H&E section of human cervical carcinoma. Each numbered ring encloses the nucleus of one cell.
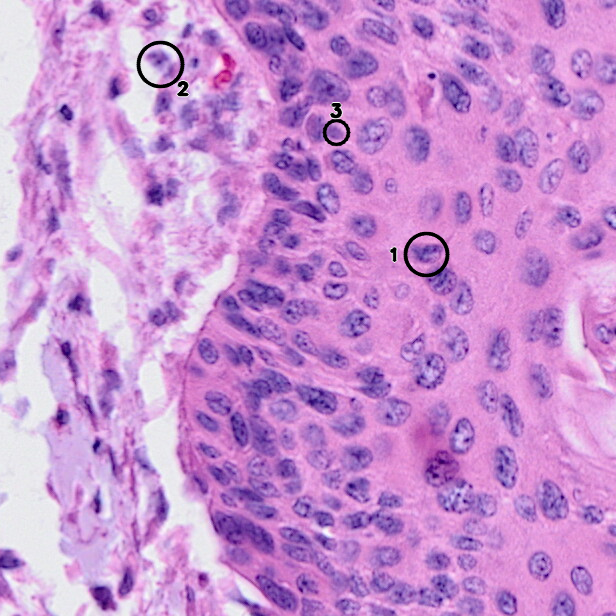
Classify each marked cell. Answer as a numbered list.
1. squamous carcinoma cell
2. fibroblast
3. squamous carcinoma cell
